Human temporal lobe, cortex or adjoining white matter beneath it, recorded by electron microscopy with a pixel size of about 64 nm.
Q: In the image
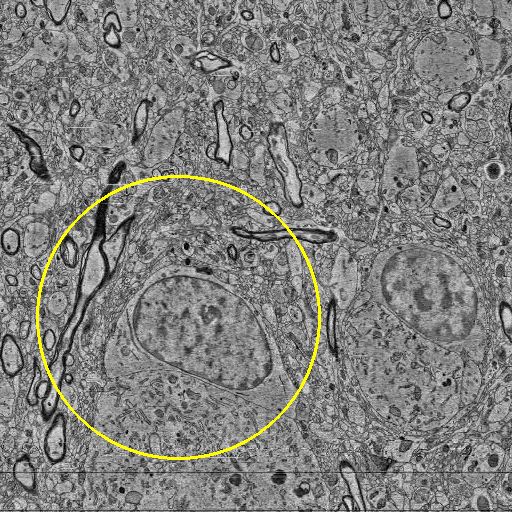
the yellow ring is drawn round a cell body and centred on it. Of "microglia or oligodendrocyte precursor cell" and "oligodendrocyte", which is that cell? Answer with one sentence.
The cell centred in the ring is a microglial cell or oligodendrocyte precursor cell.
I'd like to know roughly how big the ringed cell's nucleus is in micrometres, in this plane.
In this plane the nucleus is clearly longer than it is wide: roughly 10 by 6 micrometres.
